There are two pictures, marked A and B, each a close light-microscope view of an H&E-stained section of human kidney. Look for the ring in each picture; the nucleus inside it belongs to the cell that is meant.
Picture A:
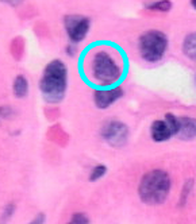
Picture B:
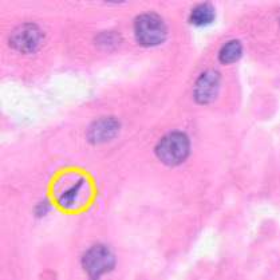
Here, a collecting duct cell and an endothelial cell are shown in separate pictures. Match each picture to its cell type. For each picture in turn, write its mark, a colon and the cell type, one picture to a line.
A: collecting duct cell
B: endothelial cell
